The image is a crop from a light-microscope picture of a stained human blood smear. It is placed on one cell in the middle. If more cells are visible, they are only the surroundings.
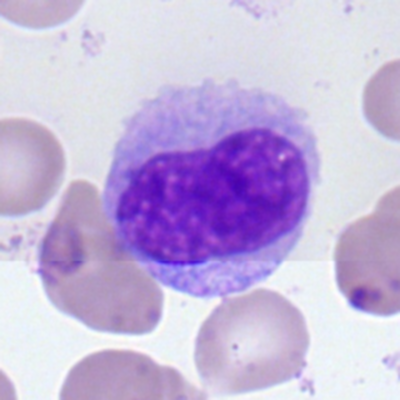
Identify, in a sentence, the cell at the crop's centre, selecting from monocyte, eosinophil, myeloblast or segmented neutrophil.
The cell shown in the center of this light-microscope crop is a monocyte.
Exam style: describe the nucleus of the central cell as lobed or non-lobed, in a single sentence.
Between us, the nucleus here is just one compact mass, round, oval or kidney-shaped.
